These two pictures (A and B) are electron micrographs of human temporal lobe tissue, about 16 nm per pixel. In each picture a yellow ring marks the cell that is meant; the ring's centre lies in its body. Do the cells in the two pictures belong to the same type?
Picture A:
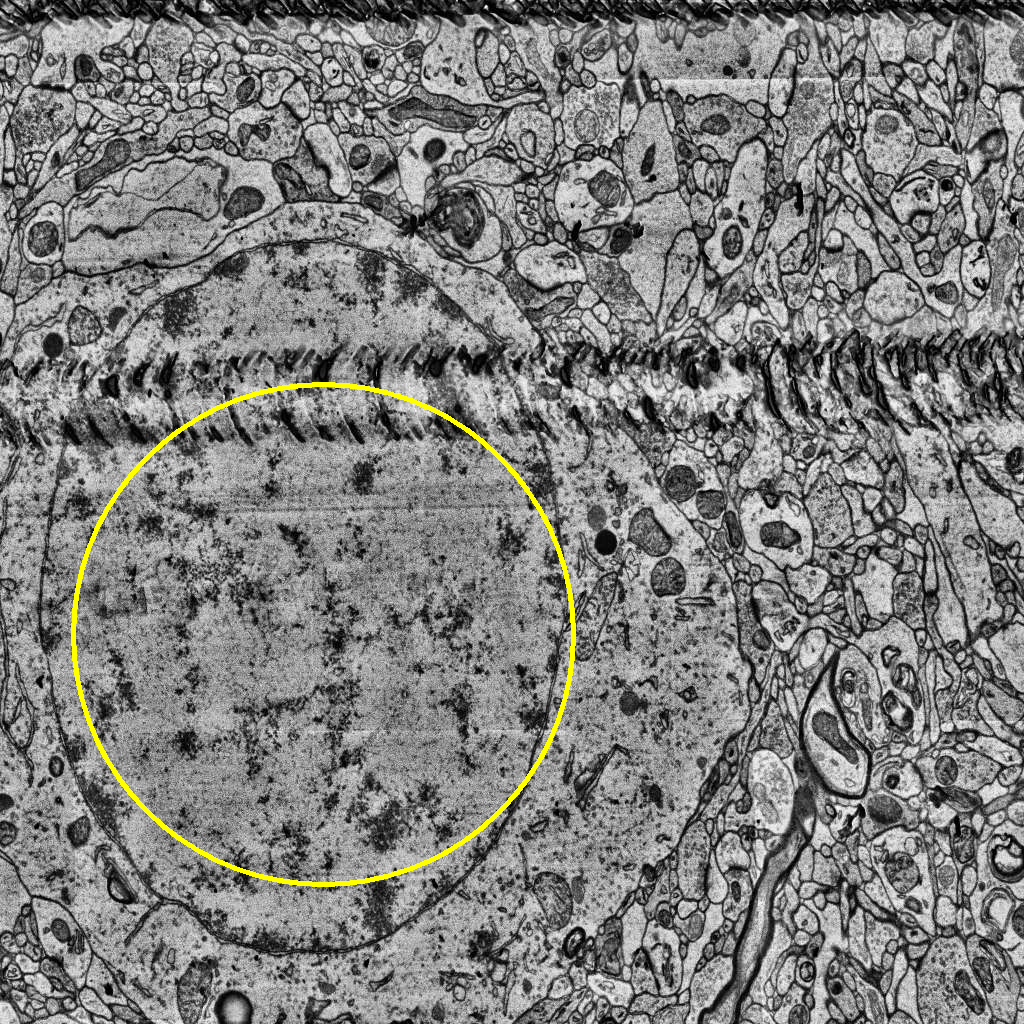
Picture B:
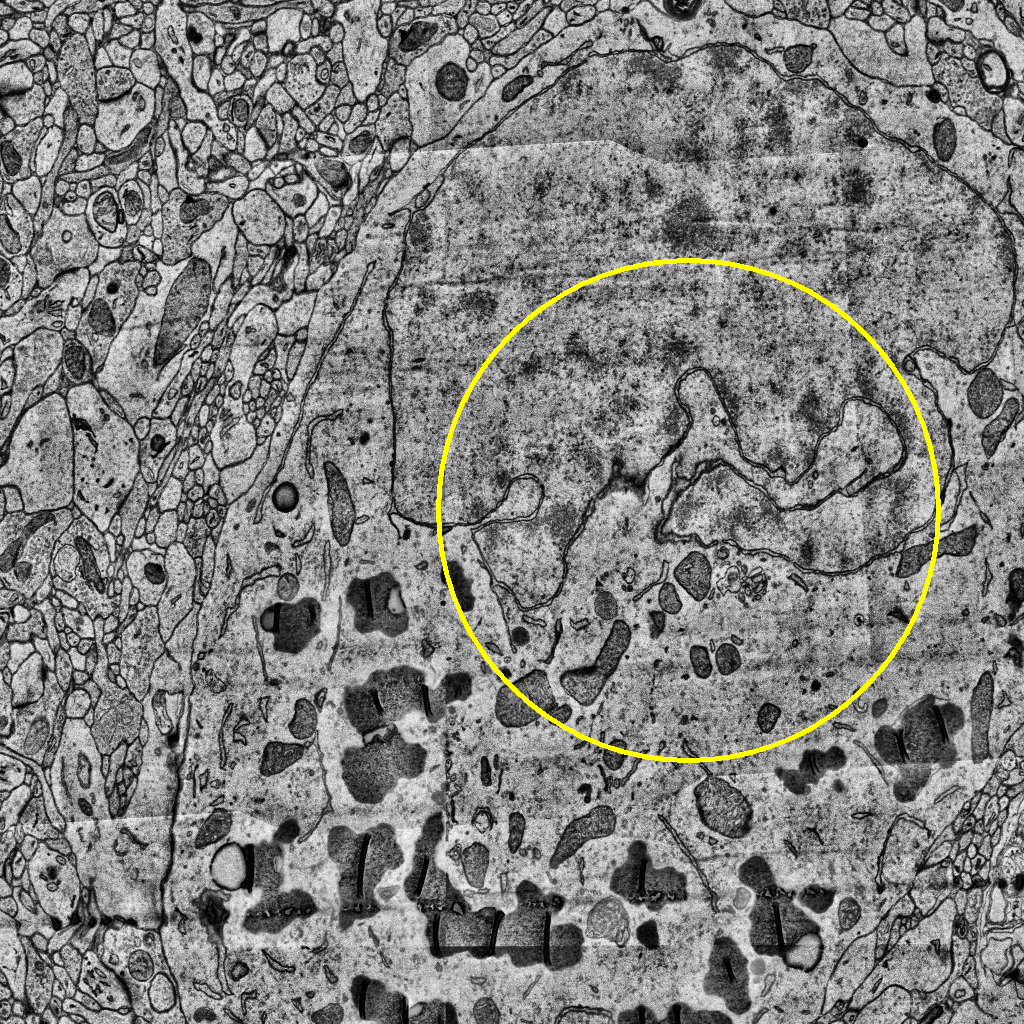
No, the types are not the same, since picture A shows a pyramidal neuron and picture B an interneuron.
